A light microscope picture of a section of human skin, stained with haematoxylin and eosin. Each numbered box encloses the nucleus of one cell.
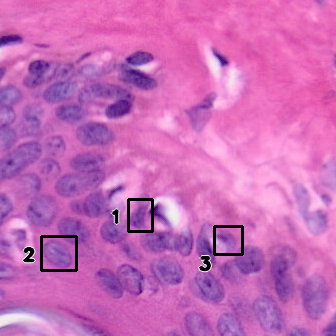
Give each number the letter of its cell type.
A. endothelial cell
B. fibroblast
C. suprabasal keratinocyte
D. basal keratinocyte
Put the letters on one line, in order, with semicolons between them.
D; C; D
